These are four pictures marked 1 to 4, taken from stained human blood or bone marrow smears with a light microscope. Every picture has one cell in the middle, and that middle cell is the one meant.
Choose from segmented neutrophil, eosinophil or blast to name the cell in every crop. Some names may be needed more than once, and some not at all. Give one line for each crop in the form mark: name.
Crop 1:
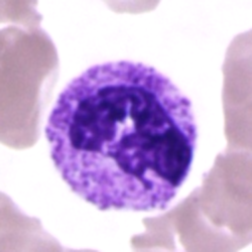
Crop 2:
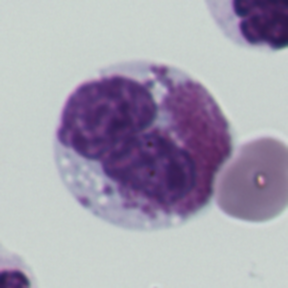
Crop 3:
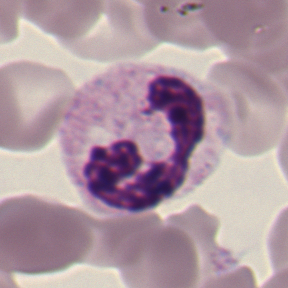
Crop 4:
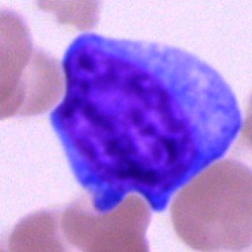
1: segmented neutrophil
2: eosinophil
3: segmented neutrophil
4: blast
